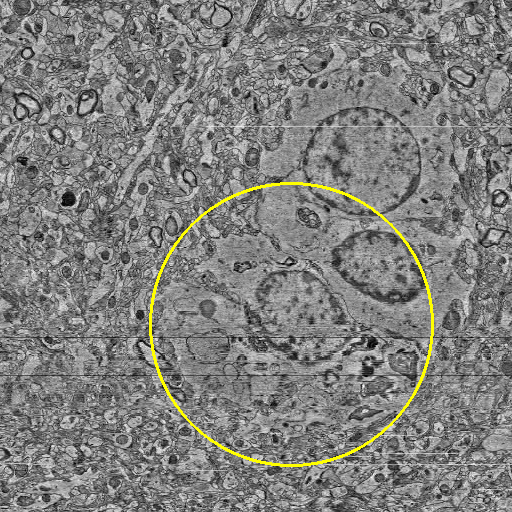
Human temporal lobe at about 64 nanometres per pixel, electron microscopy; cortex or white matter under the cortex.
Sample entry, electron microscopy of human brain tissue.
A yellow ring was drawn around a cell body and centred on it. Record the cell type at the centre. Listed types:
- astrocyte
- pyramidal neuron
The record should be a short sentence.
The cell at the ring's centre is an astrocyte.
